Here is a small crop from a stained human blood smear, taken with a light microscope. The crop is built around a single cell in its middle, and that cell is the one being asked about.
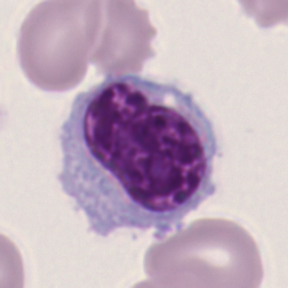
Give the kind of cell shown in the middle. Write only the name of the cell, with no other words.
plasma cell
